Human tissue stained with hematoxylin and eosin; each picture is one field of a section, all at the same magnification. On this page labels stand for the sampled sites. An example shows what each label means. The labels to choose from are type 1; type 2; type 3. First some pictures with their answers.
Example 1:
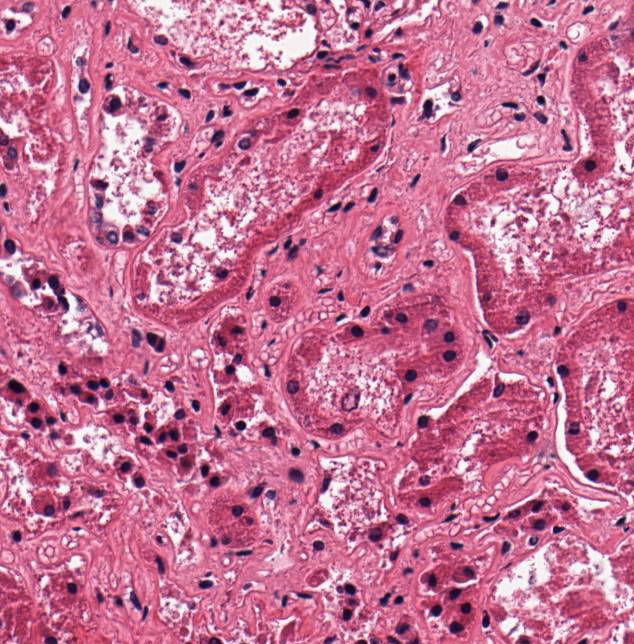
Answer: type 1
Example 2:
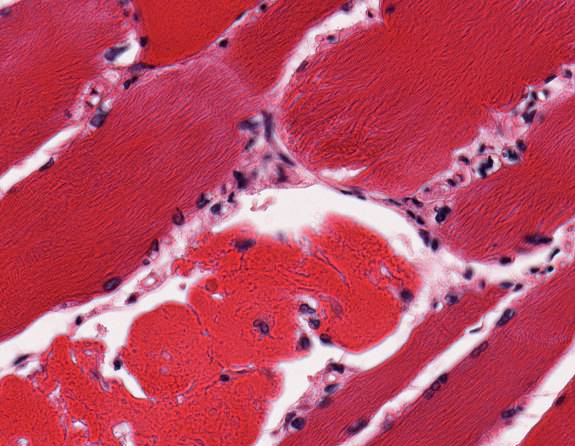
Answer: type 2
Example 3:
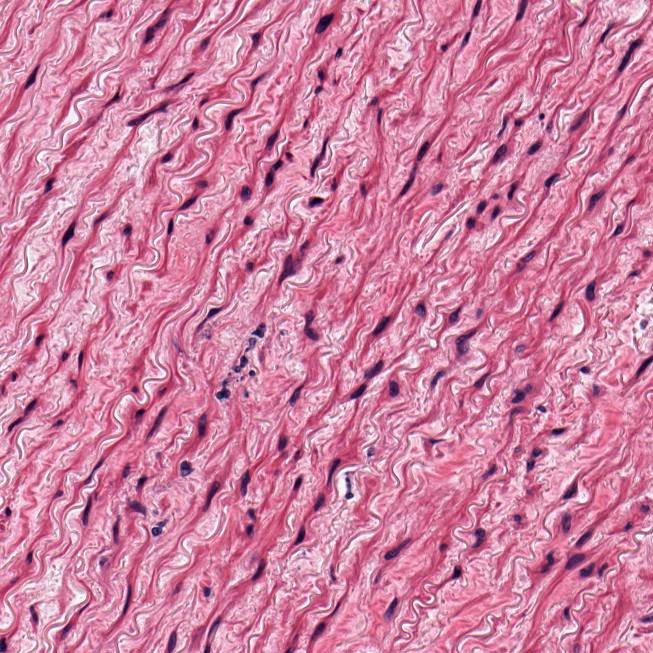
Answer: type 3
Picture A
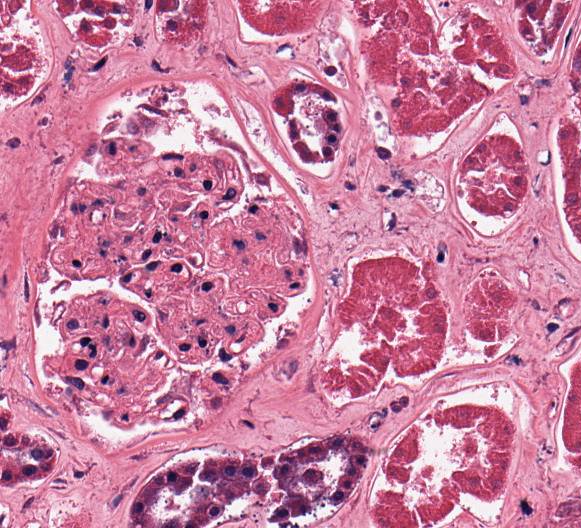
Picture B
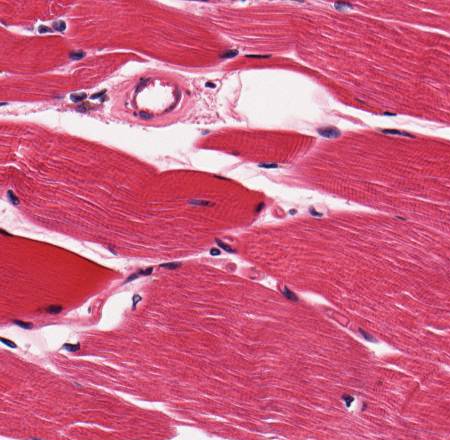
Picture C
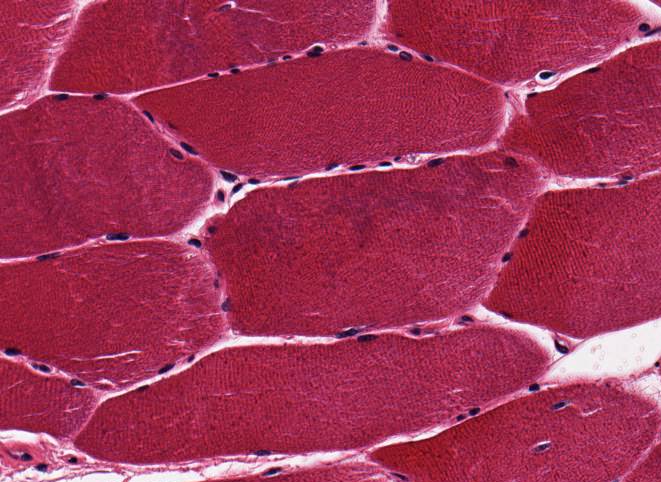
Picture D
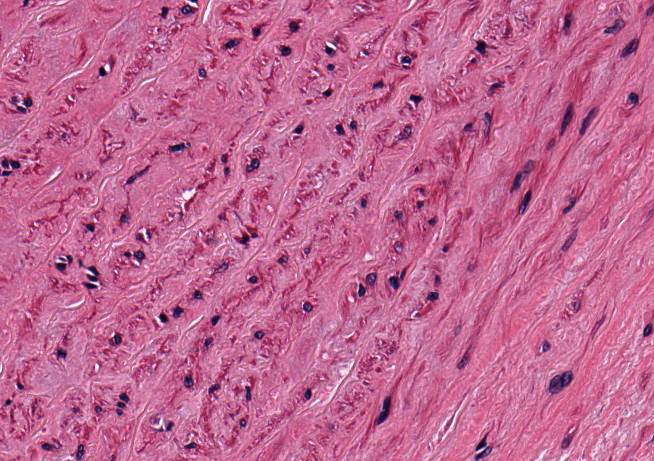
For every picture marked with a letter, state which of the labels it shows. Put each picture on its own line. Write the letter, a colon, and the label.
A: type 1
B: type 2
C: type 2
D: type 3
